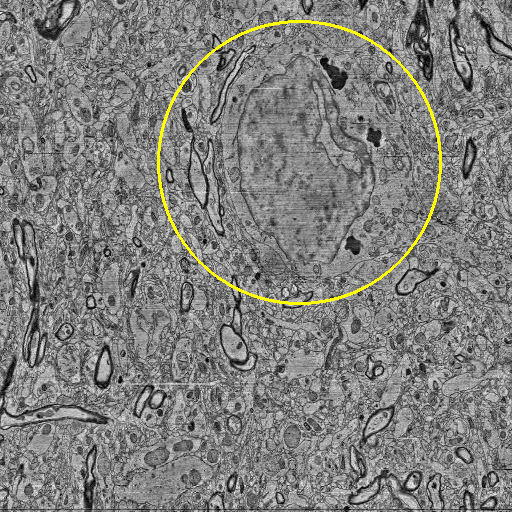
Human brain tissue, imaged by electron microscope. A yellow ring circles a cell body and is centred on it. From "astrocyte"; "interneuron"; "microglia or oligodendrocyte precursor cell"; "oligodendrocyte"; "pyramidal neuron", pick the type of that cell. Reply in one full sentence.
The cell body at the centre of the yellow ring belongs to an interneuron.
